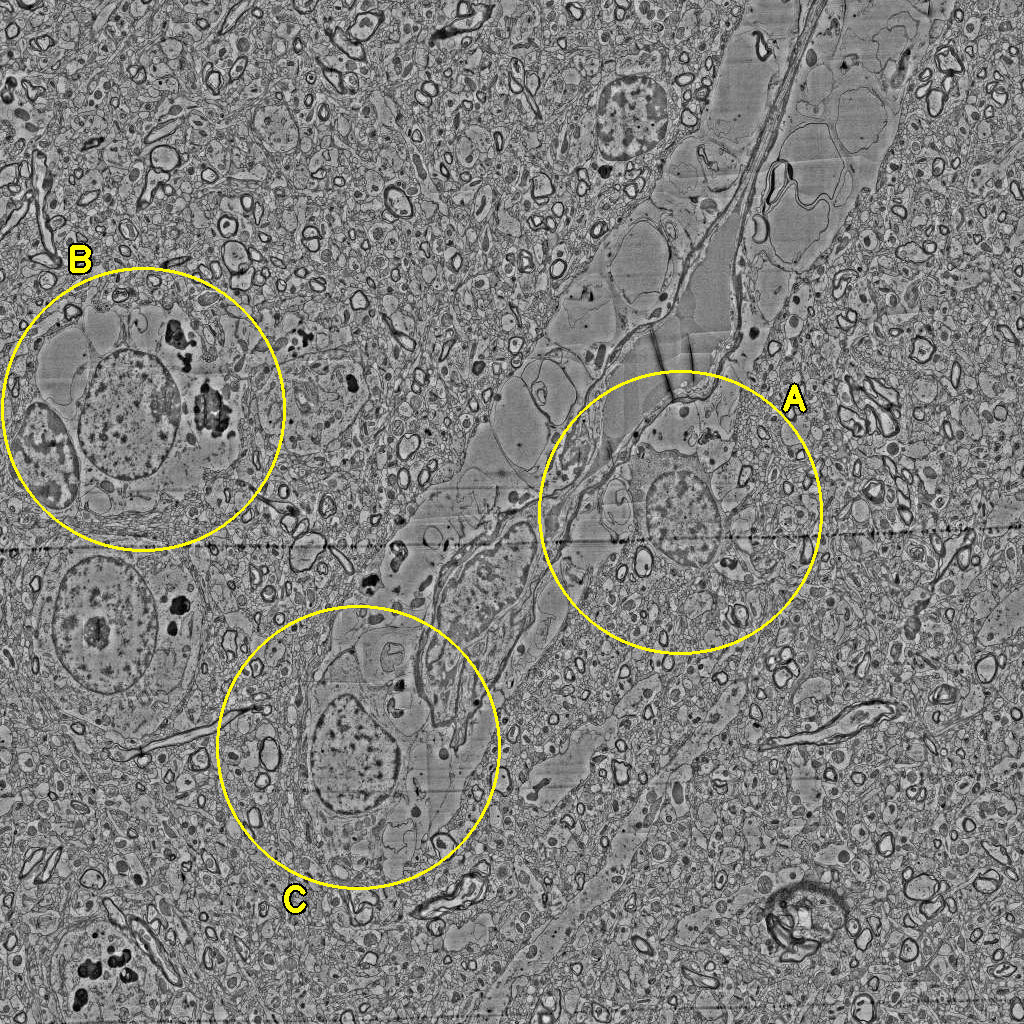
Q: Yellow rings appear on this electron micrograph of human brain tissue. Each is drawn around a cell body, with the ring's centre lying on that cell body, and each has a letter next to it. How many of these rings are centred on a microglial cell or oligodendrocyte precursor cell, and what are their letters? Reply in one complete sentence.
Only one yellow ring has its centre on a microglial cell or oligodendrocyte precursor cell, and that ring is C.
